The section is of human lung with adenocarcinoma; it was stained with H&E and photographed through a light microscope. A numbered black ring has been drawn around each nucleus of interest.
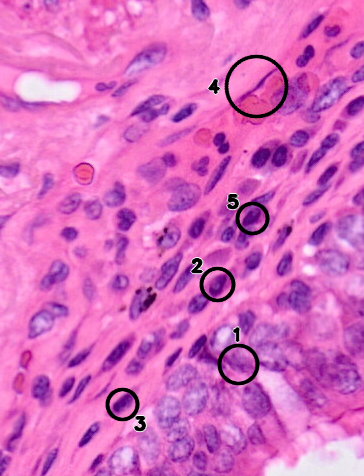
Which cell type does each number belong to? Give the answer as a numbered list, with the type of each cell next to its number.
1. ciliated epithelial cell
2. plasma cell
3. plasma cell
4. endothelial cell
5. plasma cell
